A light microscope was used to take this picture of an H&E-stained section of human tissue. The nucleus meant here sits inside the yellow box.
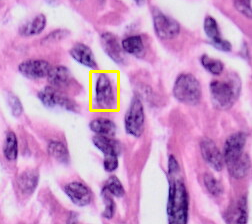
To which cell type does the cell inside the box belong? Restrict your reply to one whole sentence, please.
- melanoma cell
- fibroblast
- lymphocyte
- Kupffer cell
In this section of tissue, the cell inside the box is a melanoma cell.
